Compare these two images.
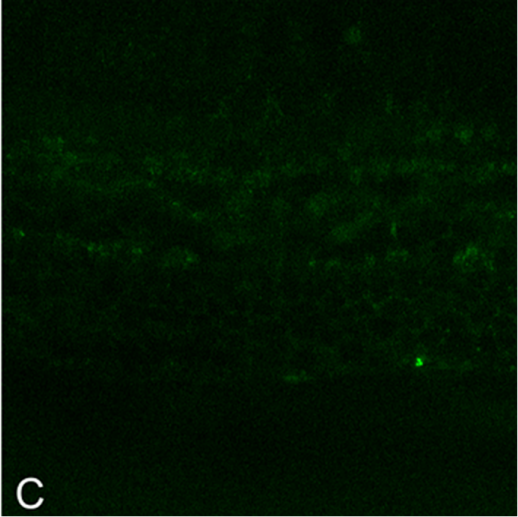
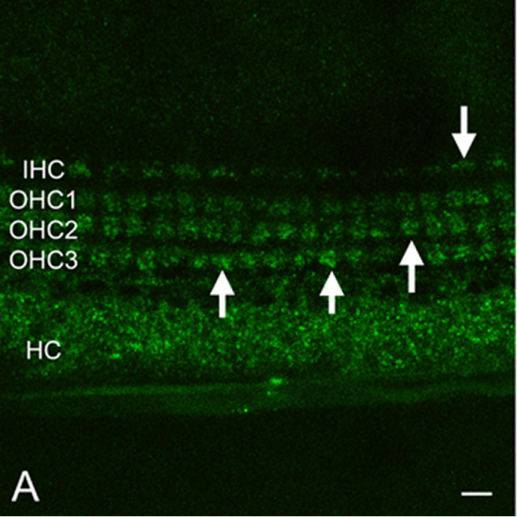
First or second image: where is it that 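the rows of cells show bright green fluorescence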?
The second image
